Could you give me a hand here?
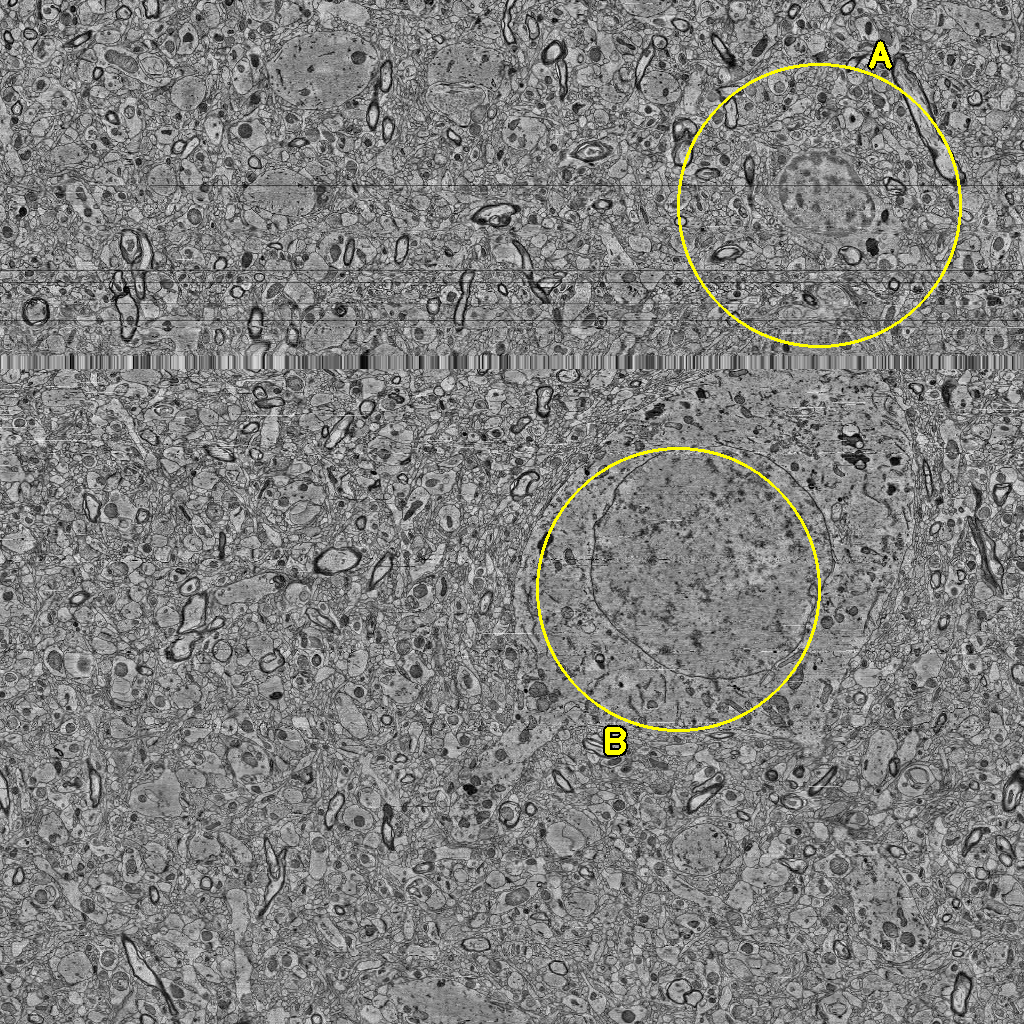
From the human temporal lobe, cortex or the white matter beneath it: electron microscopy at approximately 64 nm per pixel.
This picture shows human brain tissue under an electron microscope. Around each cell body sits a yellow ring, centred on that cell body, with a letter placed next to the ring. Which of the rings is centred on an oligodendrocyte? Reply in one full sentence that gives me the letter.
The cell asked for sits at the centre of ring A in the picture.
